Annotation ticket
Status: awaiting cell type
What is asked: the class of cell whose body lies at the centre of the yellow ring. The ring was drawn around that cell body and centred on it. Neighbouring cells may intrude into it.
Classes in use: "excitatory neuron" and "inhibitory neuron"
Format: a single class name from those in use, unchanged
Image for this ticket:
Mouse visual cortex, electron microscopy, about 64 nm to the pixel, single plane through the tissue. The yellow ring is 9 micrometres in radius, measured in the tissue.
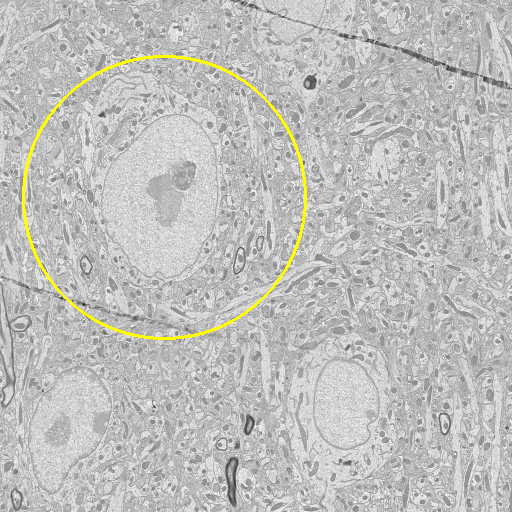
inhibitory neuron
